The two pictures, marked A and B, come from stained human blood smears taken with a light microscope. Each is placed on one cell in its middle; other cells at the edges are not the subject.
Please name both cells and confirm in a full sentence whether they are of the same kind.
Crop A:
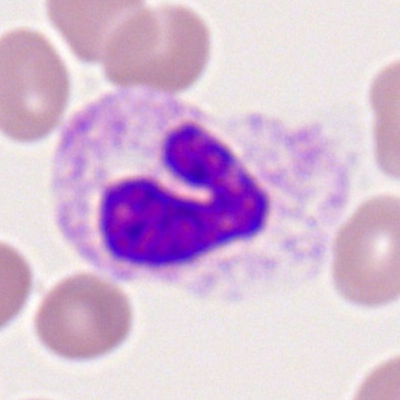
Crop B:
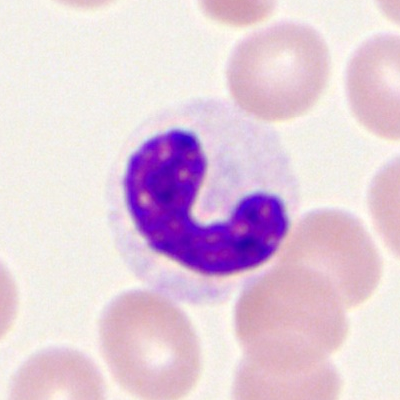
Yes, the cells that the two crops centre on are band neutrophils.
